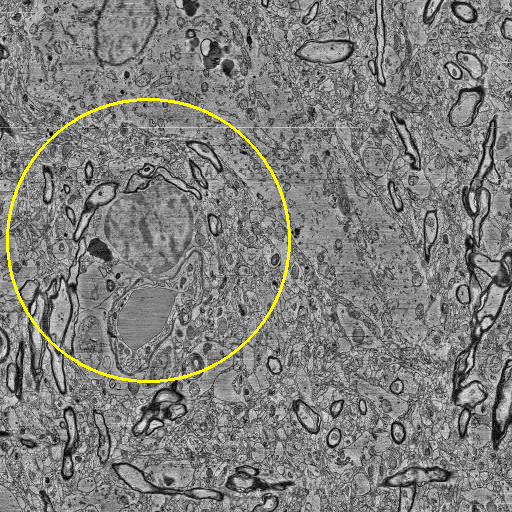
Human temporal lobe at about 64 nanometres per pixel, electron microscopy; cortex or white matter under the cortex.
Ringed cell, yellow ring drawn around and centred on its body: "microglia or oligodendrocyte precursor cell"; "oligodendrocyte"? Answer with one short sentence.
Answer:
This ringed cell is an oligodendrocyte.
